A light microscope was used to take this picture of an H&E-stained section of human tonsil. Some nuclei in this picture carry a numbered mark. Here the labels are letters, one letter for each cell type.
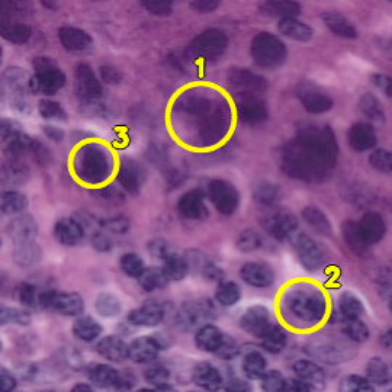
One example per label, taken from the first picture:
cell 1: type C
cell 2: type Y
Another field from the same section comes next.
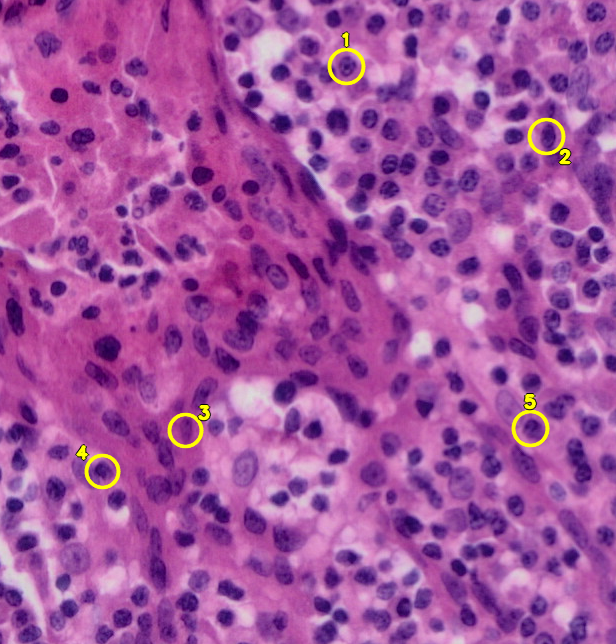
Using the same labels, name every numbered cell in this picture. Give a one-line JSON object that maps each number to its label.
{"1": "type Y", "2": "type Y", "3": "type C", "4": "type C", "5": "type Y"}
